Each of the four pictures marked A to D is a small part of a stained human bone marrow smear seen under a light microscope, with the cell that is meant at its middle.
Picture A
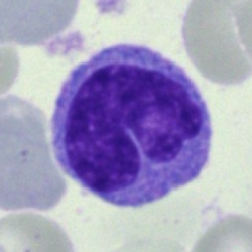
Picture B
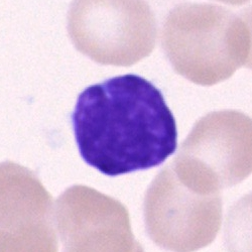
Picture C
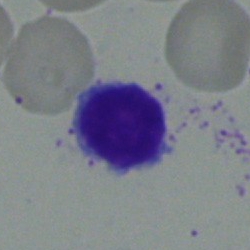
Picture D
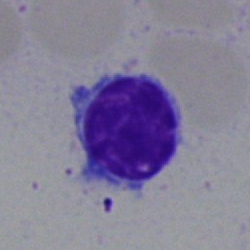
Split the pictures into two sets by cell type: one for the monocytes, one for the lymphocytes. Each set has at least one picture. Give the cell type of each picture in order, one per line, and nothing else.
monocyte
lymphocyte
lymphocyte
lymphocyte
